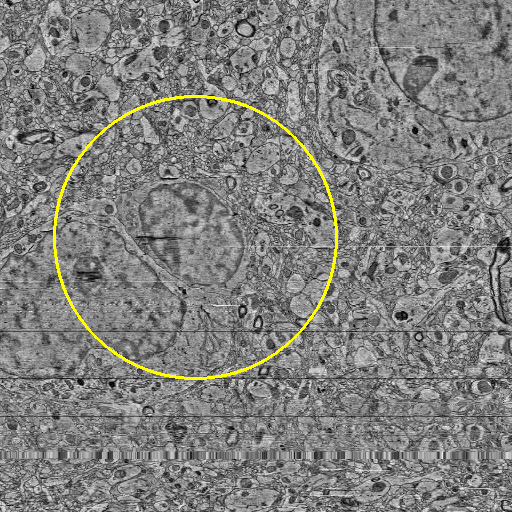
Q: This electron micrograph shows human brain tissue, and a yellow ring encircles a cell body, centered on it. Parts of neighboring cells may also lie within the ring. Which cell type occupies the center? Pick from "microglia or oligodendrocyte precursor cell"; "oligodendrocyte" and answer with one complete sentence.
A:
What sits at the ring's center in this micrograph is an oligodendrocyte, among those choices.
